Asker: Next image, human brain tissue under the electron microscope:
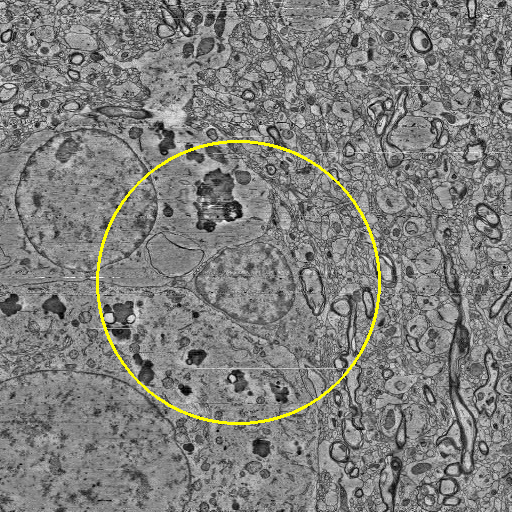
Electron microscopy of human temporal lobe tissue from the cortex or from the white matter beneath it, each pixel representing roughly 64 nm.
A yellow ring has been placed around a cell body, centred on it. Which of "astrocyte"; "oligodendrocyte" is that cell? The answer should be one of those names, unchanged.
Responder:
oligodendrocyte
